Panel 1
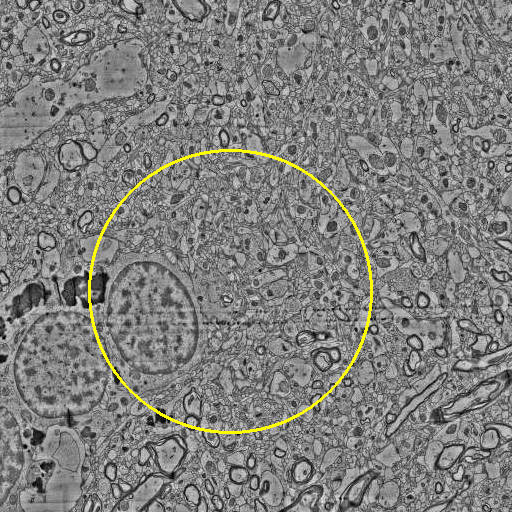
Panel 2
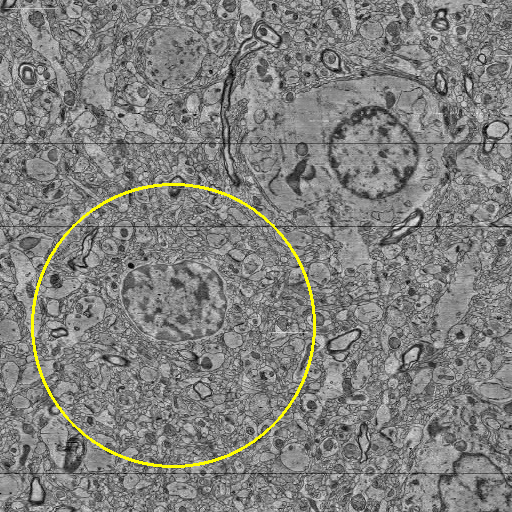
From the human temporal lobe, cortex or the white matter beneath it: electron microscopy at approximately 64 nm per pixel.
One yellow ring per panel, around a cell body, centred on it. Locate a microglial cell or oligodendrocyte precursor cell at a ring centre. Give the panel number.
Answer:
2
